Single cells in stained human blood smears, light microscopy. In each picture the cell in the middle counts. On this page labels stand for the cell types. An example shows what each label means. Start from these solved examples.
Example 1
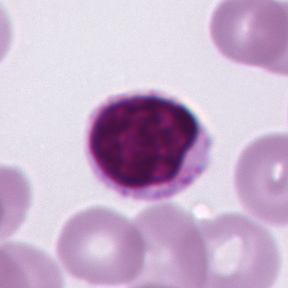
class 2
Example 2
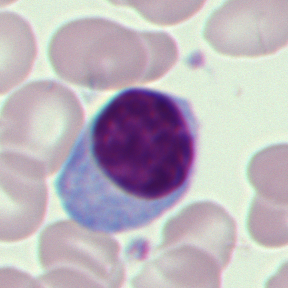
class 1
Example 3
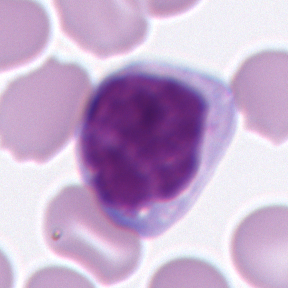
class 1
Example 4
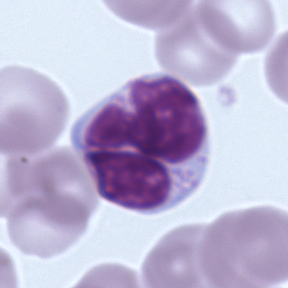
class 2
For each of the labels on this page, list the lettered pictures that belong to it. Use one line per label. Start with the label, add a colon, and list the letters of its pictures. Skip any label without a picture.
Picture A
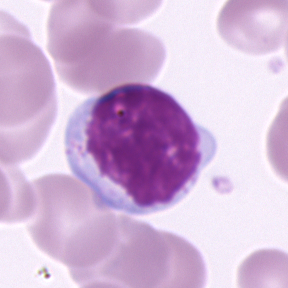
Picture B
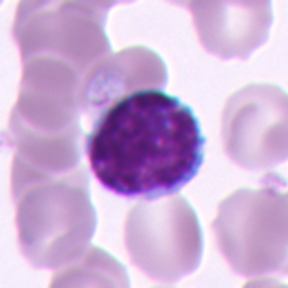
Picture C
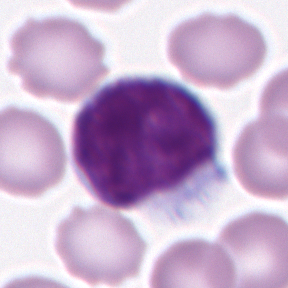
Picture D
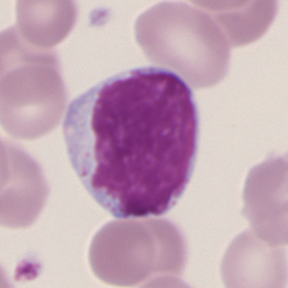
class 2: A, D
class 1: B, C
